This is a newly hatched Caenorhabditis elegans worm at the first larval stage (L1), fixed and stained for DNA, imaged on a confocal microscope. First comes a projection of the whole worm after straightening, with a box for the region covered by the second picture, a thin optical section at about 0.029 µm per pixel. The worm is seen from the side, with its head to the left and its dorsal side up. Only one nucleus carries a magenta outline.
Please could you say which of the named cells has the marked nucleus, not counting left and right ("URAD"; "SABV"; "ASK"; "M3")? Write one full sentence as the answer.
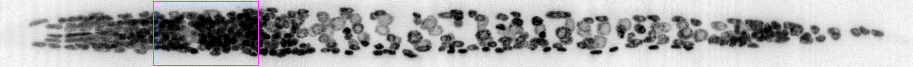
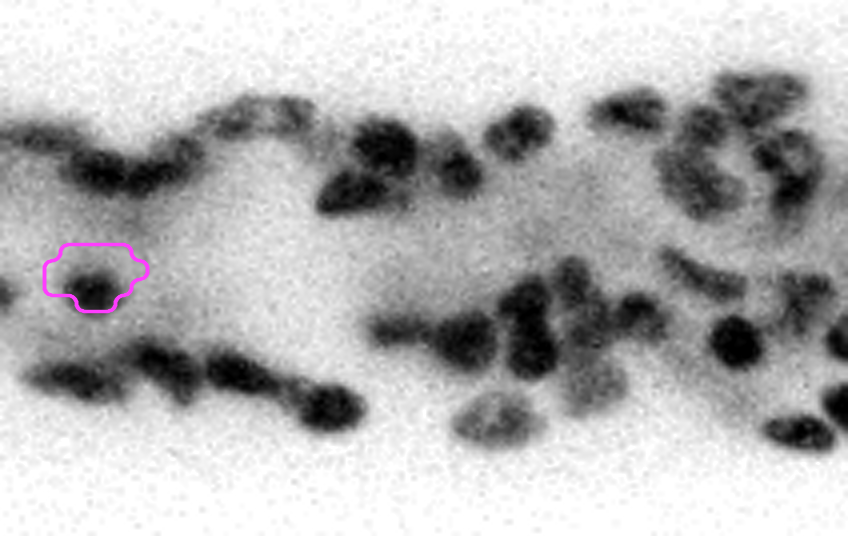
This is the nucleus of M3, a neuron.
